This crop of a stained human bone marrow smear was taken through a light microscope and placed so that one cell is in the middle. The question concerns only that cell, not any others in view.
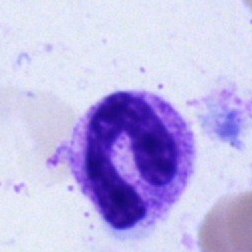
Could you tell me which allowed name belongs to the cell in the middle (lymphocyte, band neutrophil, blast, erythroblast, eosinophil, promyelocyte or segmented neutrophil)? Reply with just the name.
band neutrophil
